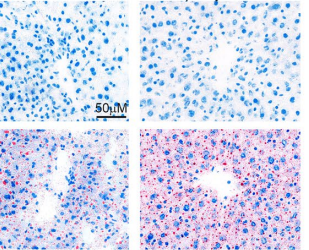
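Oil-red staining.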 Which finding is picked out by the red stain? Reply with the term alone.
Hepatic steatosis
